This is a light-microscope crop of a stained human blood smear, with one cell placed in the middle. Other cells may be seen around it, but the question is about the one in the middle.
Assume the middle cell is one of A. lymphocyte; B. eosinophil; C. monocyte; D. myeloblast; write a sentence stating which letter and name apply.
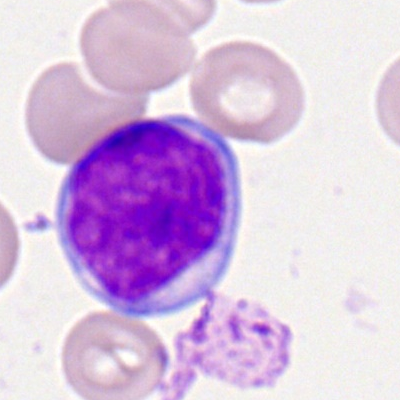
Identified correctly by option D, the cell in the middle is a myeloblast.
